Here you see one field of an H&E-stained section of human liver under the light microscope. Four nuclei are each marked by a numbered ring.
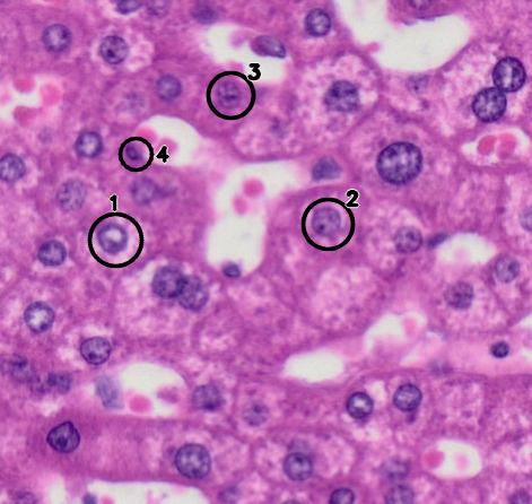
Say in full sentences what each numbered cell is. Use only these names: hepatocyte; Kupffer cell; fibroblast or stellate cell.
Cells 1, 2 and 3 are hepatocytes. Cell 4 is a fibroblast or stellate cell.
